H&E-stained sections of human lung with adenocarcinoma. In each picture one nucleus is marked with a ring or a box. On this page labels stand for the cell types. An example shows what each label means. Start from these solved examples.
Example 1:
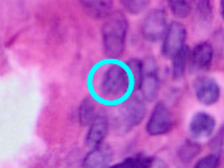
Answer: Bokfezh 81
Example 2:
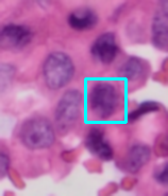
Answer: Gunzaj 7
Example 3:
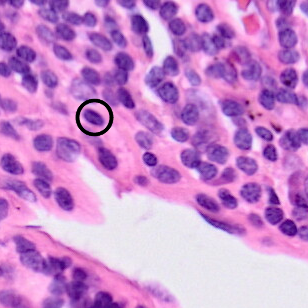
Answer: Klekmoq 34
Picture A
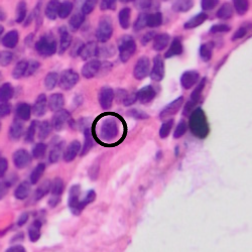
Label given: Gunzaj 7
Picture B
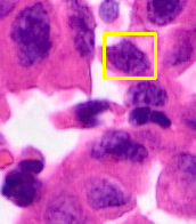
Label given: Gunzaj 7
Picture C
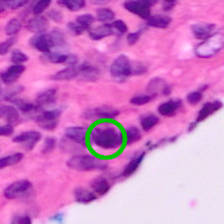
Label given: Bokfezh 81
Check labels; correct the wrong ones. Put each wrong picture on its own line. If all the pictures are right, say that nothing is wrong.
A: change Gunzaj 7 to Klekmoq 34
C: change Bokfezh 81 to Klekmoq 34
